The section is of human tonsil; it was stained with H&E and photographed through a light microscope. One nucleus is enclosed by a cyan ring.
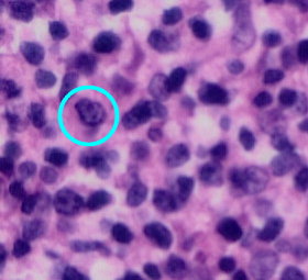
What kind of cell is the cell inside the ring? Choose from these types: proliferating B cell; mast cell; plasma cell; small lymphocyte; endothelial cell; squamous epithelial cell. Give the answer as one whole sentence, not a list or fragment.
In this preparation, the cell inside the ring is a proliferating B cell.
